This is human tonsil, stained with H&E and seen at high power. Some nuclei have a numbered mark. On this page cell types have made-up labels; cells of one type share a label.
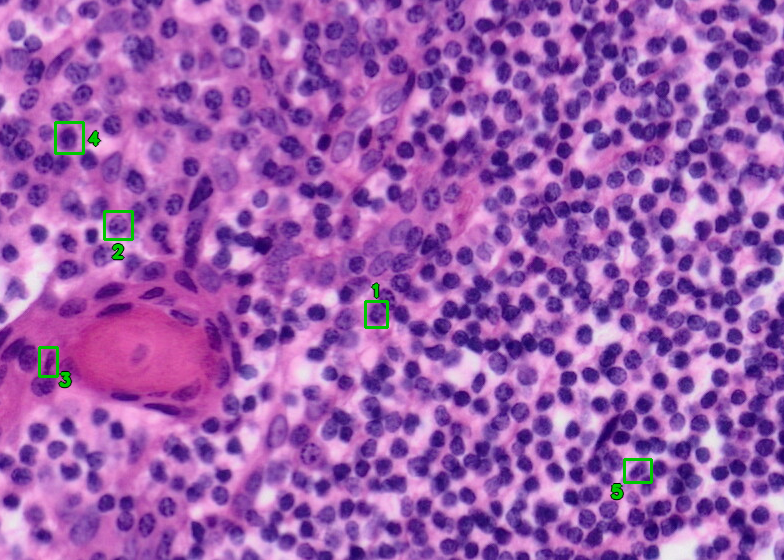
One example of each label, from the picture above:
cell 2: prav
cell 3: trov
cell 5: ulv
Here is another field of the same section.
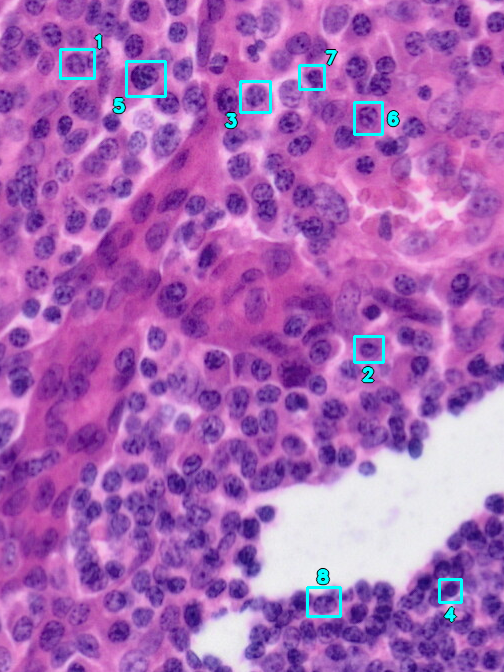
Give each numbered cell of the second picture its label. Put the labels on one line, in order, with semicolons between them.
prav; prav; prav; ulv; prav; prav; trov; ulv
